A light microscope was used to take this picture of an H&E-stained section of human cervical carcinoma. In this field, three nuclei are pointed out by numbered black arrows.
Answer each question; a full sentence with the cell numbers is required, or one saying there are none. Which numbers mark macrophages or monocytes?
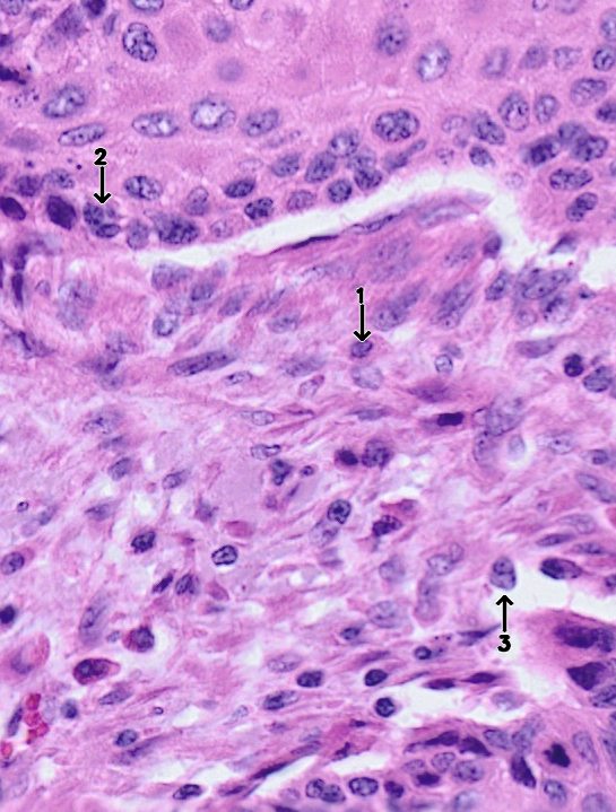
The cells with numbers 1 and 3 are macrophages or monocytes by type.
